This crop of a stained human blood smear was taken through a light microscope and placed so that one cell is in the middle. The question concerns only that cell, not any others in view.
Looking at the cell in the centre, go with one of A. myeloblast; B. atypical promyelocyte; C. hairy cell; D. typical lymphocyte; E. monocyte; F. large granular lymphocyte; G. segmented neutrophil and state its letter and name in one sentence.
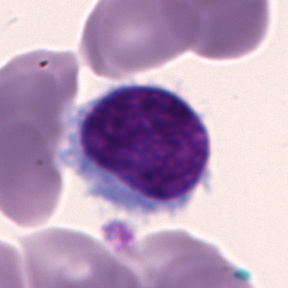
The cell shown centrally is a hairy cell; option C is the correct option.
